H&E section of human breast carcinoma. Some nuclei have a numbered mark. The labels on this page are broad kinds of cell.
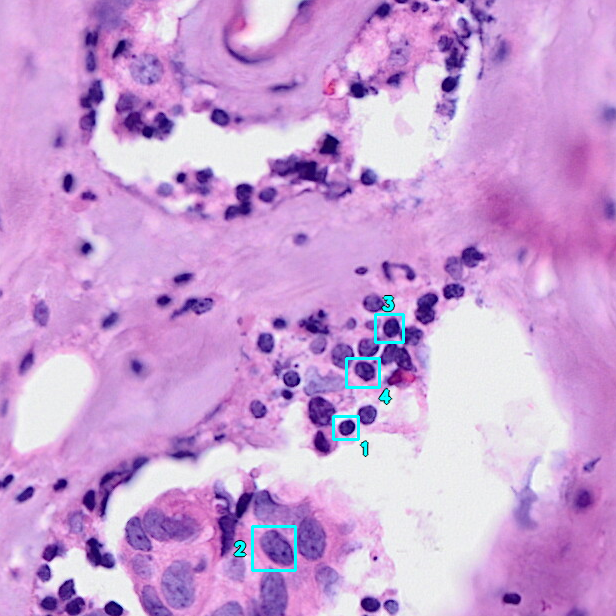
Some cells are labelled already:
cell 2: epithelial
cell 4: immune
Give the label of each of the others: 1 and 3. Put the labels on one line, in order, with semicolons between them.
immune; immune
